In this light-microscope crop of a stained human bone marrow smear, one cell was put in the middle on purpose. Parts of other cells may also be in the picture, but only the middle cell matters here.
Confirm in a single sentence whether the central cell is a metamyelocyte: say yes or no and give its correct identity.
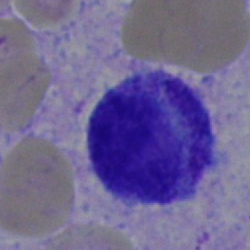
No, the centre of the crop contains a myelocyte rather than a metamyelocyte.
